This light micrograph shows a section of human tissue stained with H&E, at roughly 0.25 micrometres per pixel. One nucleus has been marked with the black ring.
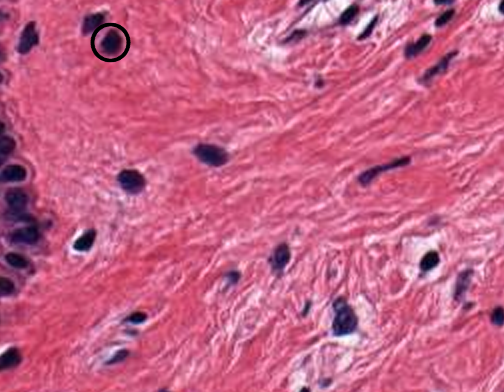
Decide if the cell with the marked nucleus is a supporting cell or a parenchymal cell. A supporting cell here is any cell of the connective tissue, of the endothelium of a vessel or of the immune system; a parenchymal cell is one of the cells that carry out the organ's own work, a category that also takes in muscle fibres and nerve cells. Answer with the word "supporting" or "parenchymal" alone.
supporting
